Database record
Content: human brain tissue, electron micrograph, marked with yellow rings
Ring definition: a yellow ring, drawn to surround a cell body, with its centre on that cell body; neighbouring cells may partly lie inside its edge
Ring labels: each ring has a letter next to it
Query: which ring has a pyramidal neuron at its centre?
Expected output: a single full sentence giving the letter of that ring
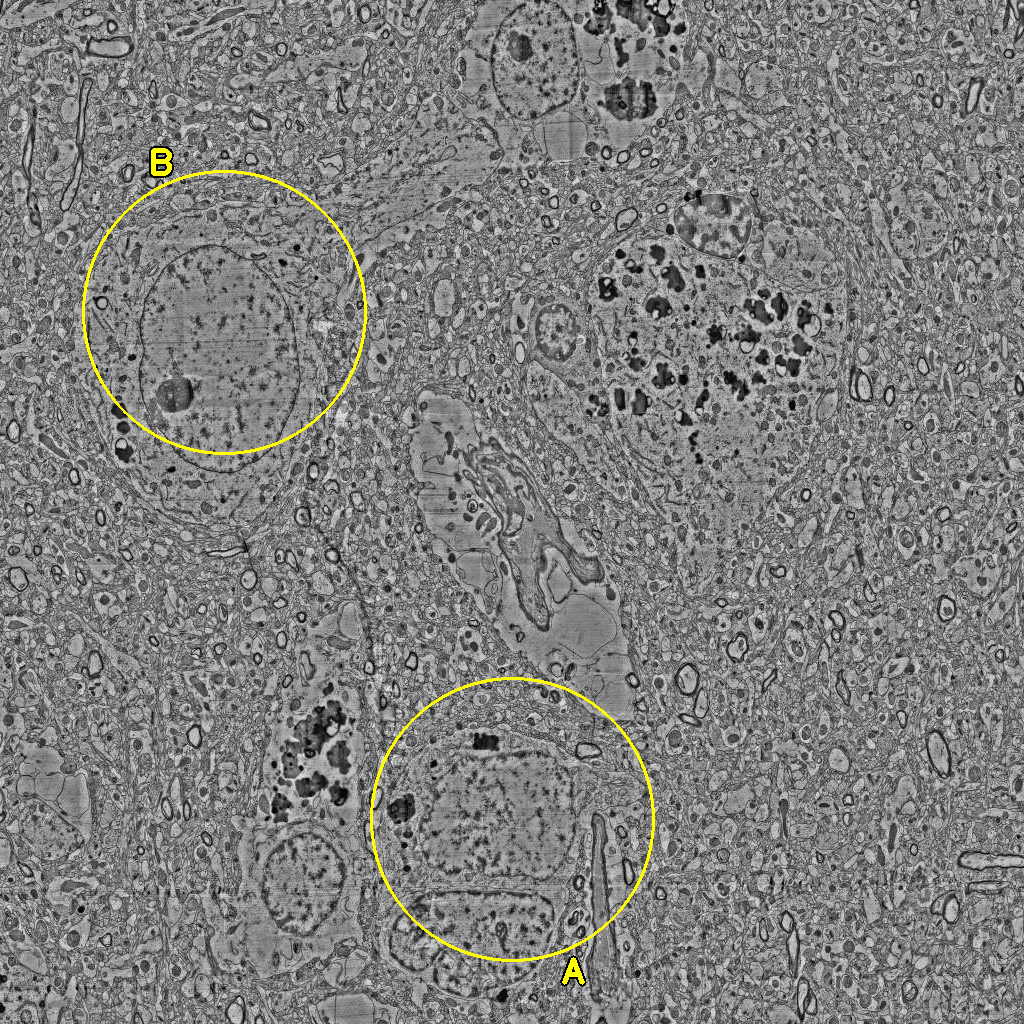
In the picture, the cell being queried lies at the centre of ring B.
